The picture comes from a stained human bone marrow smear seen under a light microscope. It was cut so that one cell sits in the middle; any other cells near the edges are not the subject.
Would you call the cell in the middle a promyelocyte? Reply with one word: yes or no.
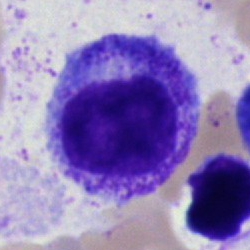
no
